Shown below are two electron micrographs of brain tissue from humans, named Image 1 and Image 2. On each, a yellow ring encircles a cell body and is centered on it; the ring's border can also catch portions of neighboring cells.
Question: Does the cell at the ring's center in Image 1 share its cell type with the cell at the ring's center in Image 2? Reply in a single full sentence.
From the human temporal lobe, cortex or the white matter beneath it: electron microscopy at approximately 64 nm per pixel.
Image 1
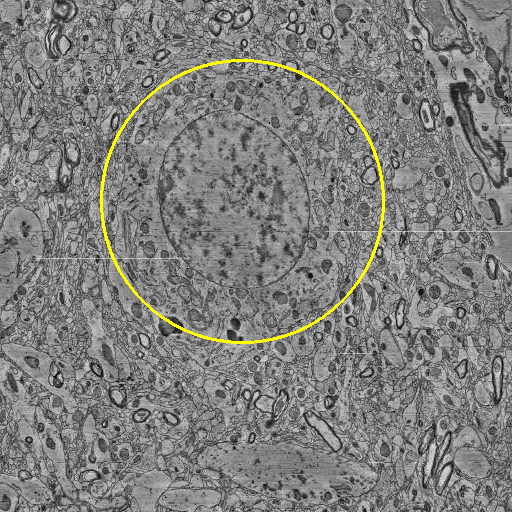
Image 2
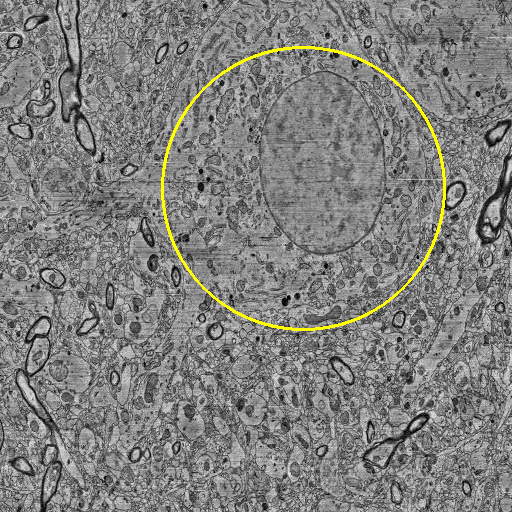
Yes, the two cells at the ring centers, in Image 1 and Image 2, share one cell type.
